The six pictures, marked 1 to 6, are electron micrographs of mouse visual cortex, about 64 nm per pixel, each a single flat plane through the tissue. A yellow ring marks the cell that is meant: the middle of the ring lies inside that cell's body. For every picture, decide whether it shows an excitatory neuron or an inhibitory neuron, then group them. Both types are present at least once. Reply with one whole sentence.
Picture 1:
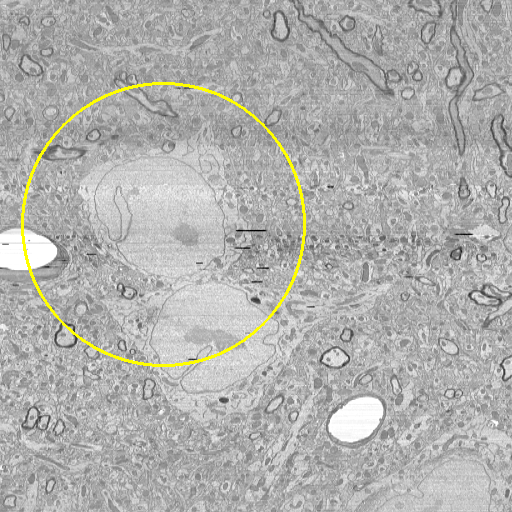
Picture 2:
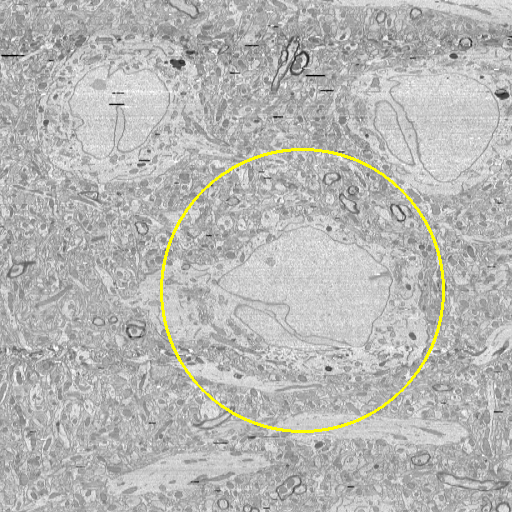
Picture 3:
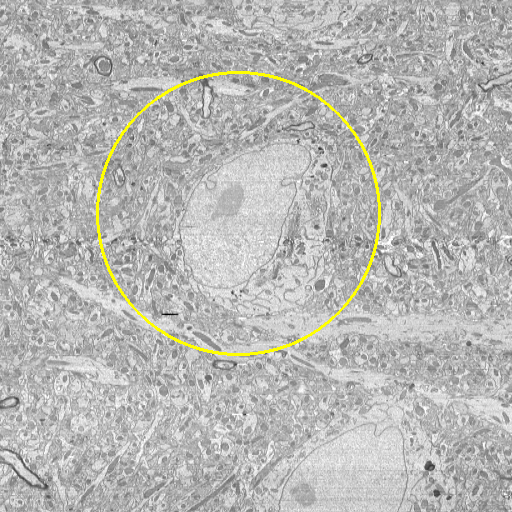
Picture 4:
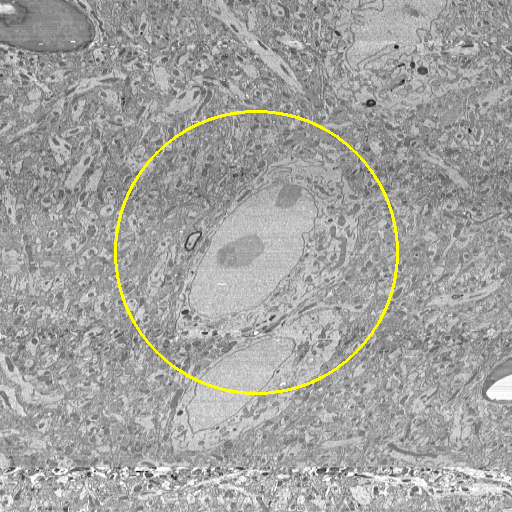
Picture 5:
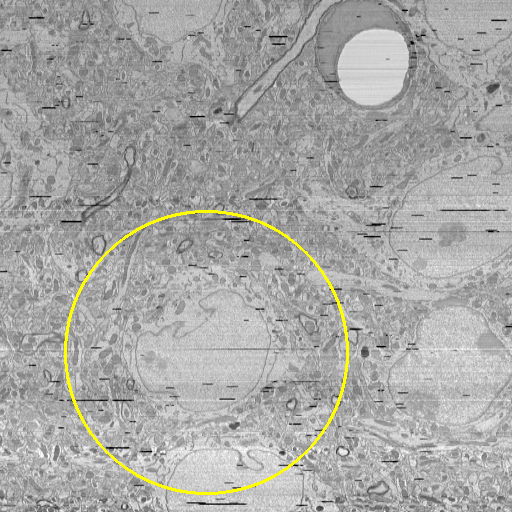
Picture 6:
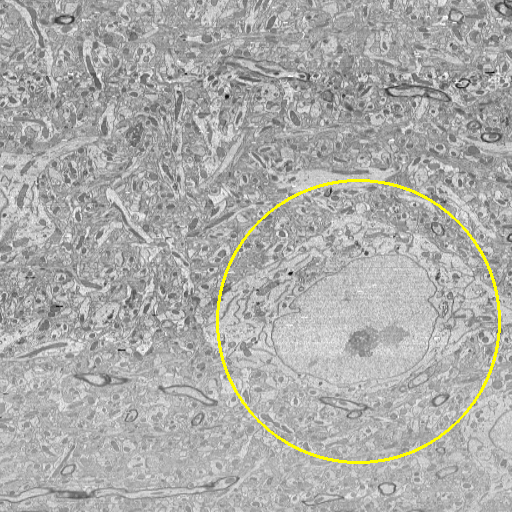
Pictures 1, 2, 4 and 5 show excitatory neurons, while pictures 3 and 6 show inhibitory neurons.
